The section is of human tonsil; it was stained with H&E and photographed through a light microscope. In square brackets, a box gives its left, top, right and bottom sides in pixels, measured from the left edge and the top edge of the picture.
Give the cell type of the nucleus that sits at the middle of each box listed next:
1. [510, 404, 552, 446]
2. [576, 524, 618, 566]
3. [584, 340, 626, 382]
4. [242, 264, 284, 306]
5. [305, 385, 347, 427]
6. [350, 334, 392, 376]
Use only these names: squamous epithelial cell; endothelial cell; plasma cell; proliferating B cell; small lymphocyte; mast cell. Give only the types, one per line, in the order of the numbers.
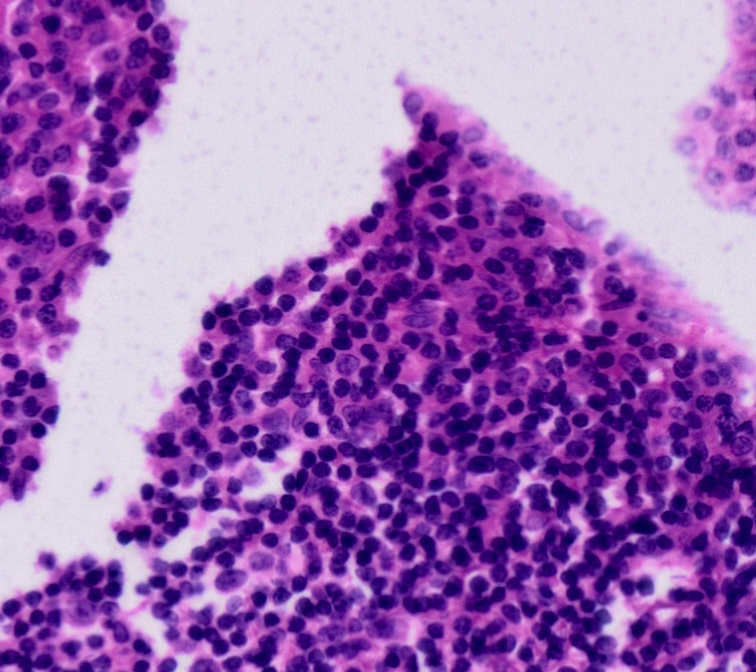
small lymphocyte
small lymphocyte
plasma cell
plasma cell
small lymphocyte
small lymphocyte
